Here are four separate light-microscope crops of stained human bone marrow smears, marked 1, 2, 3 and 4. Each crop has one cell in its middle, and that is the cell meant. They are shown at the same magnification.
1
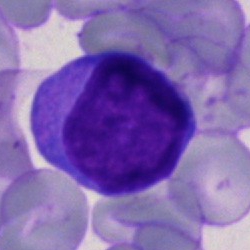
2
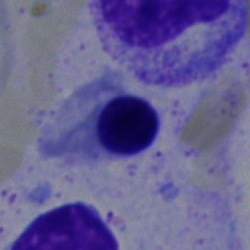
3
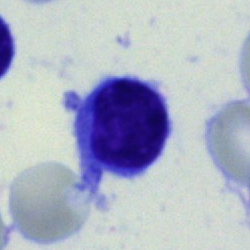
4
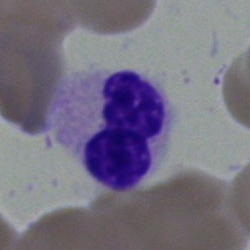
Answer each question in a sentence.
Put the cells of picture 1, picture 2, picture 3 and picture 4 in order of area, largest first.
Largest first: 1, 4, 3, 2.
